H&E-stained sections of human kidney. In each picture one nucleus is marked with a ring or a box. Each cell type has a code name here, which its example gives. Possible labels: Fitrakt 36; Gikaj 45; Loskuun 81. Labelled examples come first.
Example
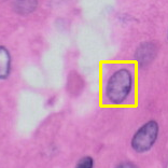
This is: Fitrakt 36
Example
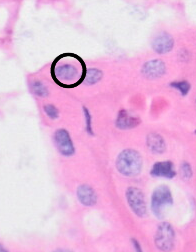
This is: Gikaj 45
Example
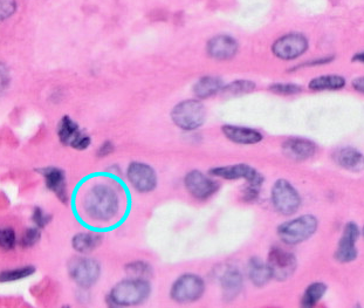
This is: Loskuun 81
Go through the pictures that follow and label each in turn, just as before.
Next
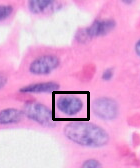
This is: Loskuun 81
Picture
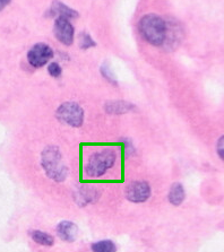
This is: Gikaj 45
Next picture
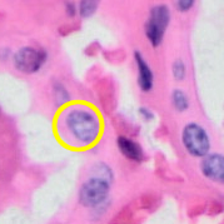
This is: Loskuun 81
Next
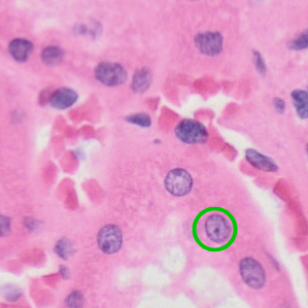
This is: Fitrakt 36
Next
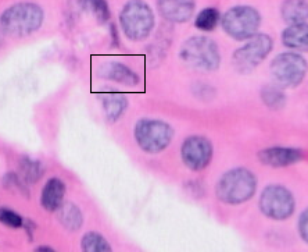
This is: Loskuun 81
